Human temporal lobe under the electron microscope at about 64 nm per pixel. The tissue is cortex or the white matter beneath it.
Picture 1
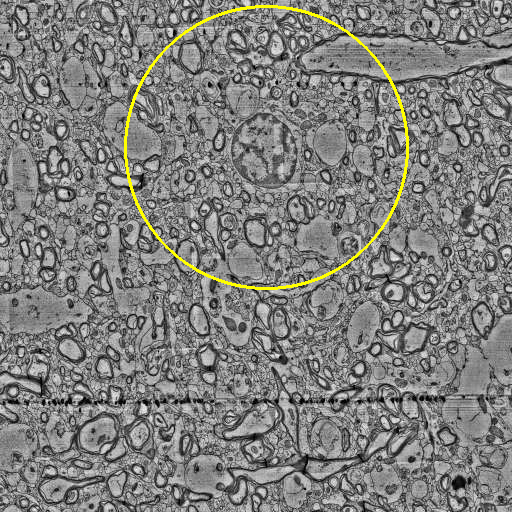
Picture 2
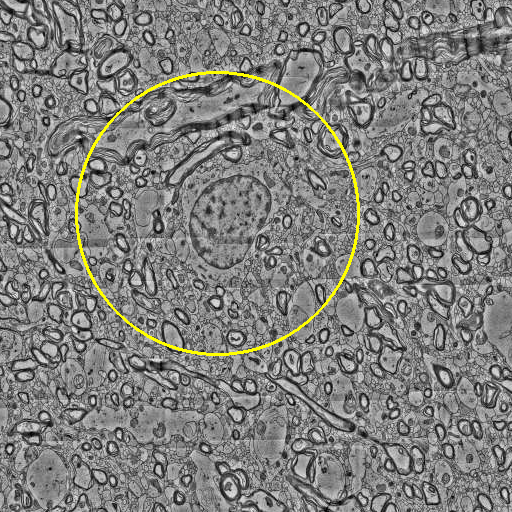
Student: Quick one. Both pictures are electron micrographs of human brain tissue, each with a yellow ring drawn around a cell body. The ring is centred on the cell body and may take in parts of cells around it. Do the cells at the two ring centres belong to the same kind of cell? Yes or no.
yes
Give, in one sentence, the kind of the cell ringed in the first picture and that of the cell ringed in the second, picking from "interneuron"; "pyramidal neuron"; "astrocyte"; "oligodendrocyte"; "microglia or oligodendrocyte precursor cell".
The cell in the first picture is a microglial cell or oligodendrocyte precursor cell, and so is the one in the second.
